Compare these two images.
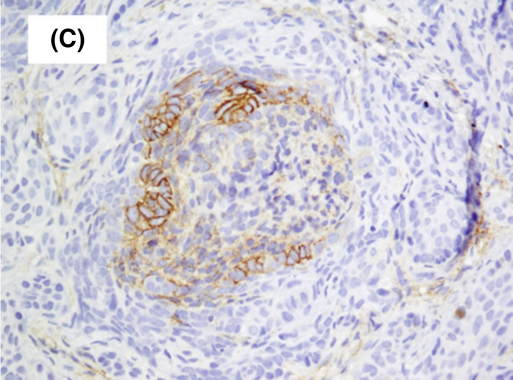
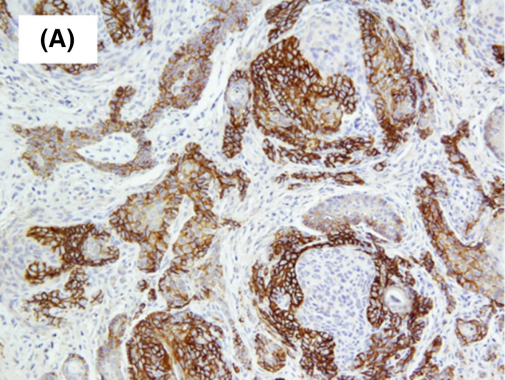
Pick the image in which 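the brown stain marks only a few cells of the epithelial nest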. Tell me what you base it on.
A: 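Second image: brown membranous stain covers large parts of many epithelial nests and cords.
The first image.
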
